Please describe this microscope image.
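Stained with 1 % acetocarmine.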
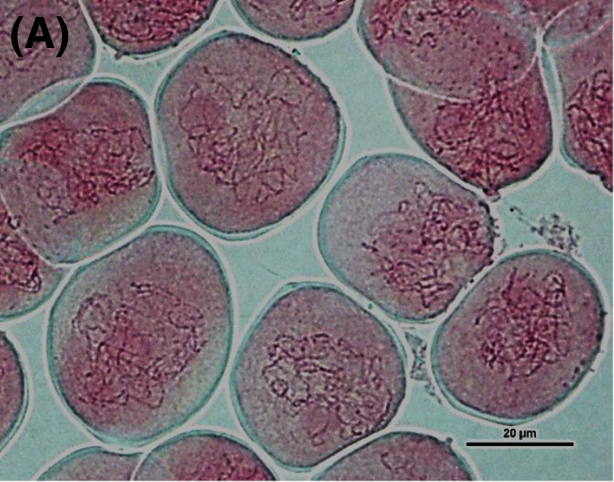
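These are pollen mother cells at pachytene of meiosis. Their chromosomes are long, thin, dark red threads tangled together in the middle of each cell.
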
